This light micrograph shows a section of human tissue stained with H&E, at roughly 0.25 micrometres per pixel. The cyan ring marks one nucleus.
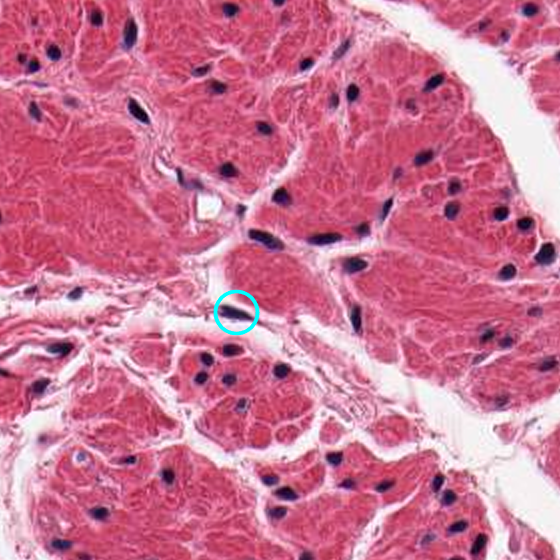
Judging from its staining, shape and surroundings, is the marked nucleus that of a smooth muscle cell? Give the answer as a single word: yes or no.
no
